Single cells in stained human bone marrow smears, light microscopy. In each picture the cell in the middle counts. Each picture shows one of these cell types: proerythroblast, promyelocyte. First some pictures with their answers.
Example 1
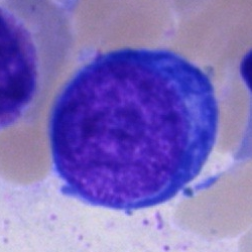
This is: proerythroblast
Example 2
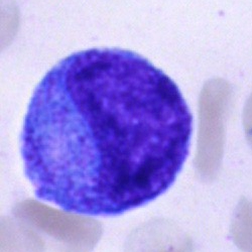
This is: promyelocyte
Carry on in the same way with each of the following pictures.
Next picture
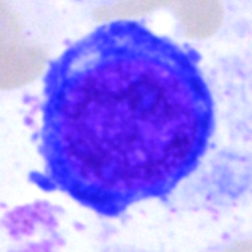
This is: proerythroblast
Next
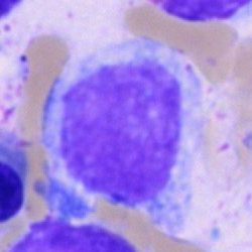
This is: promyelocyte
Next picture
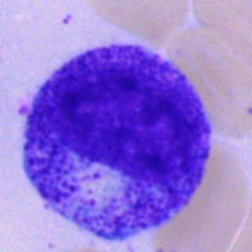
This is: promyelocyte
